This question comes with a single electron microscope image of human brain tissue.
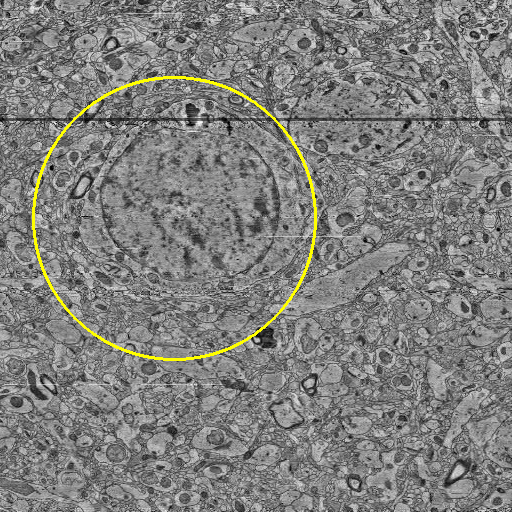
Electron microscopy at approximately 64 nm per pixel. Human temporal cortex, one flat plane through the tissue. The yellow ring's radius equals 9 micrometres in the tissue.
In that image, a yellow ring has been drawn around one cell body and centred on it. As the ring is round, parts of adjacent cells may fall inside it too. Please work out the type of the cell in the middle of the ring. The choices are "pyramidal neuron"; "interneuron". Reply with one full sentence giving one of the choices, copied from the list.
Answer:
Of the choices, an interneuron is the cell sitting in the middle of the ring.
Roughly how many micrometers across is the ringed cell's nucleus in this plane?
Approximately 11 micrometres across, in this plane.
